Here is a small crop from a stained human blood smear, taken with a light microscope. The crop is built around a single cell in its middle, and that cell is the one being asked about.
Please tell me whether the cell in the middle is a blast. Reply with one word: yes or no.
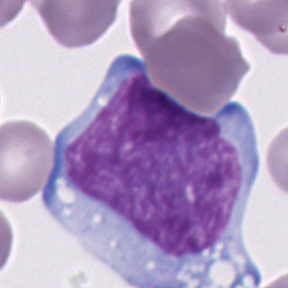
yes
